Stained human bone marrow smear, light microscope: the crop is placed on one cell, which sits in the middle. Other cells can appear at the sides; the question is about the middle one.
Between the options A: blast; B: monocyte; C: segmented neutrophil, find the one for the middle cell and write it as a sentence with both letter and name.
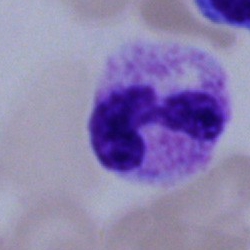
Option C correctly states that the central cell is a segmented neutrophil.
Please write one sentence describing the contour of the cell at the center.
Its outline is smooth, with no projections anywhere along the edge.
